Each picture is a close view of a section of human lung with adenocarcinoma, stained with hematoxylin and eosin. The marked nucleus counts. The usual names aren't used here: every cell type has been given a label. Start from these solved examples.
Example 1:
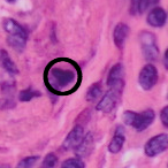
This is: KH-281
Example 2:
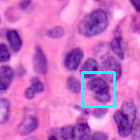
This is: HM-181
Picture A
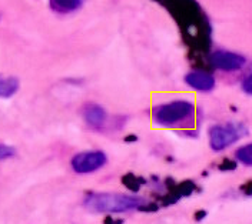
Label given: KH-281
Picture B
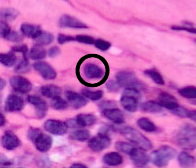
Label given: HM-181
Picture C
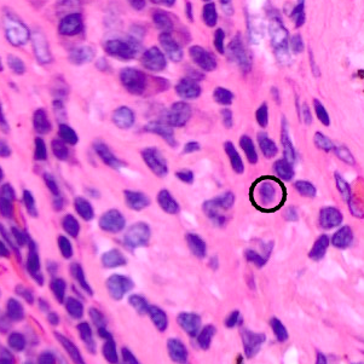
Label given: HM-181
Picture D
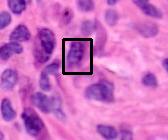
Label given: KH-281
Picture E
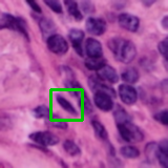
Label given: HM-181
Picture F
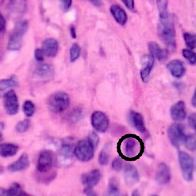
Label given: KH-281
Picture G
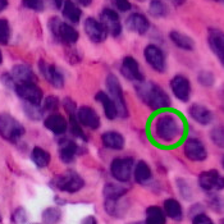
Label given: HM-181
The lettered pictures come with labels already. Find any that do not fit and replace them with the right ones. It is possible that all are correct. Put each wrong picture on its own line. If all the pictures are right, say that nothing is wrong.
None of the labels needs changing.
